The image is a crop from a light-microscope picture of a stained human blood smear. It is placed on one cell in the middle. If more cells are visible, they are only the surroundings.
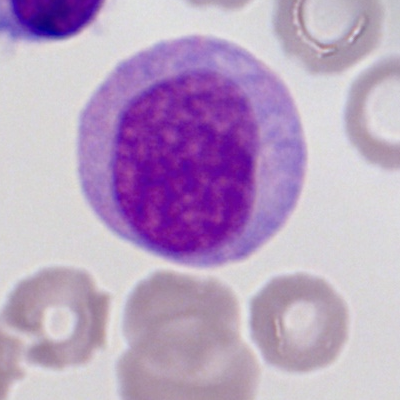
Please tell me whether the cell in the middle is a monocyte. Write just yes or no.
yes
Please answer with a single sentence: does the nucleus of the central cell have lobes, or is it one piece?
Worth pointing out that its nucleus is one compact mass, round, oval or reniform.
